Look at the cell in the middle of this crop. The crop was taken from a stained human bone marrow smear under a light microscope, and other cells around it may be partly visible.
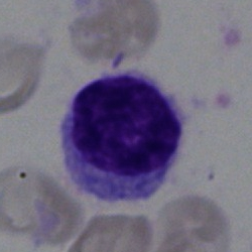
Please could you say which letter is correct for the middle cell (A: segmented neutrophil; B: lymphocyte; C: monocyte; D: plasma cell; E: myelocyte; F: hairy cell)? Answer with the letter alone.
F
